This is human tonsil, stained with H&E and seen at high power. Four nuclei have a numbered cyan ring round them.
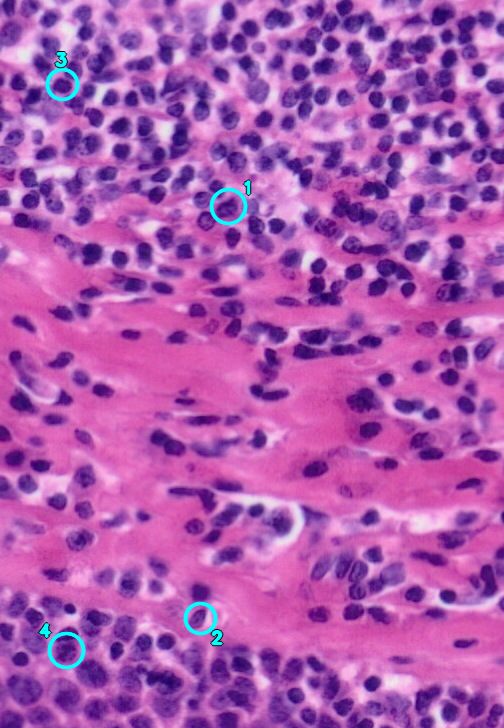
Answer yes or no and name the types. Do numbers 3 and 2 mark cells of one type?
No, cell 3 counts as a small lymphocyte, and cell 2 counts as an endothelial cell.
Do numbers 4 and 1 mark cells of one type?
No, cell 4 is a squamous epithelial cell, and in contrast cell 1 is a plasma cell.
